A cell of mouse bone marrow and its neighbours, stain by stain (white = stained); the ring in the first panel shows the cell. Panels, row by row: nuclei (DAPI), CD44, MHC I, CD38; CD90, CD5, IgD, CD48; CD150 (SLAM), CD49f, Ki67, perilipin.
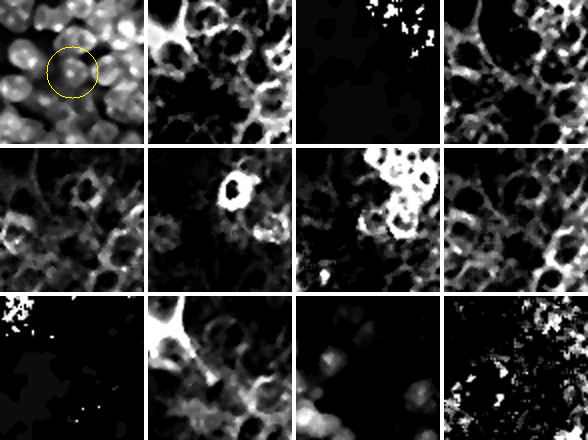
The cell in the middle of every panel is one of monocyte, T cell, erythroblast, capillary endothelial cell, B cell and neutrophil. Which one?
B cell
